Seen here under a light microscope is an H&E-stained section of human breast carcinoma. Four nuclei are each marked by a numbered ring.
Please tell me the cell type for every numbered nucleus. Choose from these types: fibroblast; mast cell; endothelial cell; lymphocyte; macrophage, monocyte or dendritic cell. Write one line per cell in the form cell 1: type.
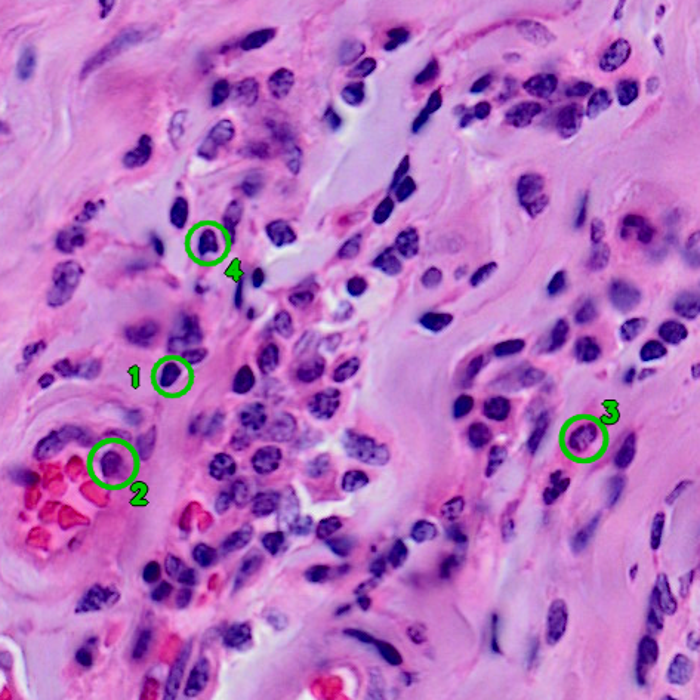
cell 1: lymphocyte
cell 2: endothelial cell
cell 3: mast cell
cell 4: lymphocyte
